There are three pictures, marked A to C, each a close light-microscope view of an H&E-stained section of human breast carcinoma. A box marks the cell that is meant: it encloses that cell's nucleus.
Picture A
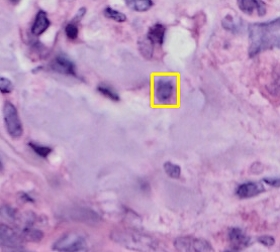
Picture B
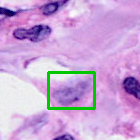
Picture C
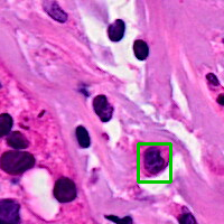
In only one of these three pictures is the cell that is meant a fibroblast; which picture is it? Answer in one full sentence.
The cell in picture B is the fibroblast.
